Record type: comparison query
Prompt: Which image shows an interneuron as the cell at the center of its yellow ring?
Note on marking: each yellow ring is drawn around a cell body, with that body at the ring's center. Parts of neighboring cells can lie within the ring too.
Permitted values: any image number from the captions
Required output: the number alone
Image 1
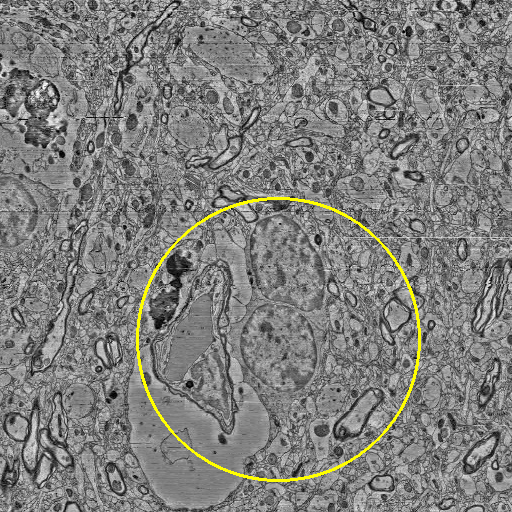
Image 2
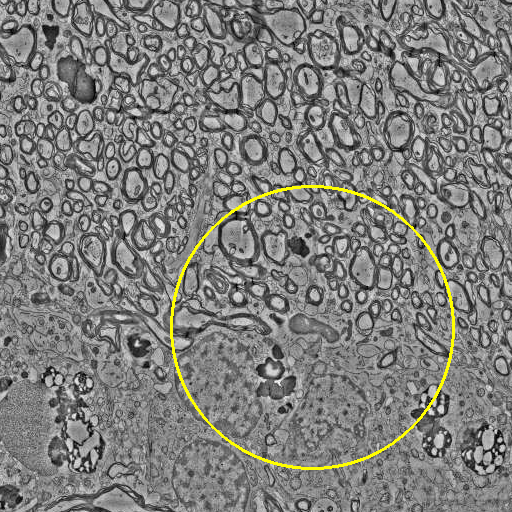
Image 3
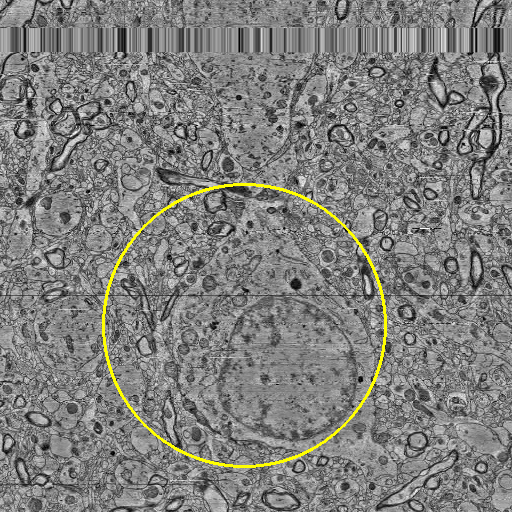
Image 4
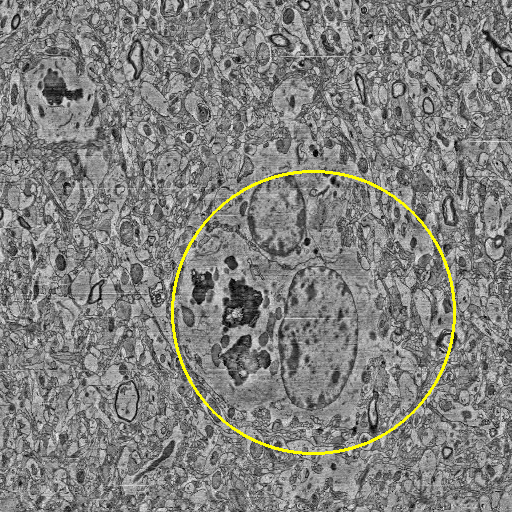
3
